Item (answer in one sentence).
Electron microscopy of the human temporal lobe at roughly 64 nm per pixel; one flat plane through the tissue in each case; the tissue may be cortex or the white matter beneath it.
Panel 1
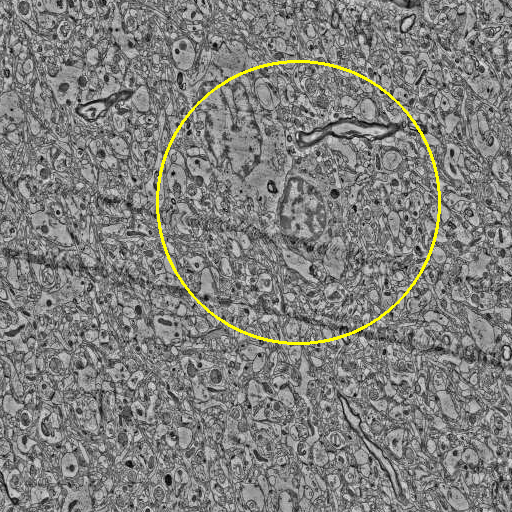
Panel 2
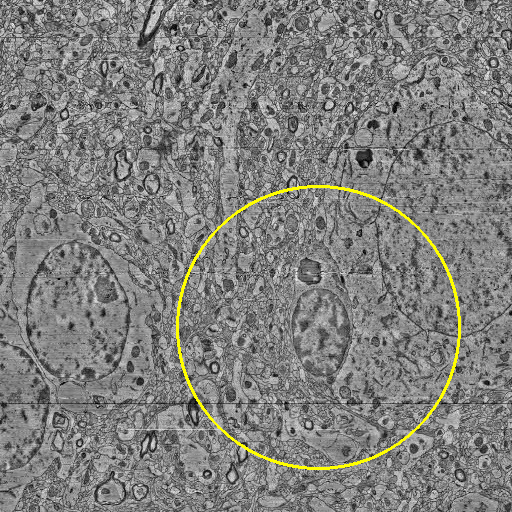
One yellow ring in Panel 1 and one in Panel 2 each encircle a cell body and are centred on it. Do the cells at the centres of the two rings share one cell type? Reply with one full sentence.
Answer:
Yes, Panel 1 and Panel 2 show cells of one type at the centres of their rings.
